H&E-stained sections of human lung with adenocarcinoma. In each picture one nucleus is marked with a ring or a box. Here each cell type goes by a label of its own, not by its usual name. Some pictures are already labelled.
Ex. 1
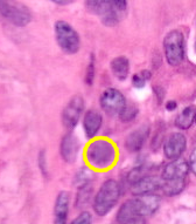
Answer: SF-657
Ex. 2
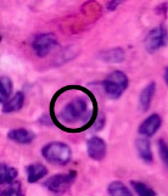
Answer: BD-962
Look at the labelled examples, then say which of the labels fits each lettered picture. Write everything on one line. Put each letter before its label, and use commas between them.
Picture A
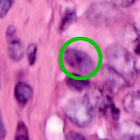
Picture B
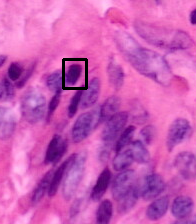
A SF-657, B SF-657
